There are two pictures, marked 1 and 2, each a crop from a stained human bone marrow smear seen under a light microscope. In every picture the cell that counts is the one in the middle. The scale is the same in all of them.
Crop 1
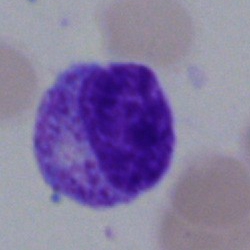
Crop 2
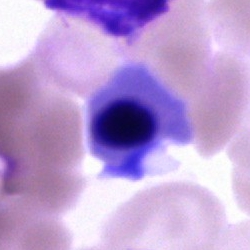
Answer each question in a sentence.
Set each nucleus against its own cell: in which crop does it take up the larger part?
In crop 1 the nucleus takes up the larger part of its cell.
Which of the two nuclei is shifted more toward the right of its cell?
Seen within its cell, the nucleus in crop 1 lies further toward the right.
